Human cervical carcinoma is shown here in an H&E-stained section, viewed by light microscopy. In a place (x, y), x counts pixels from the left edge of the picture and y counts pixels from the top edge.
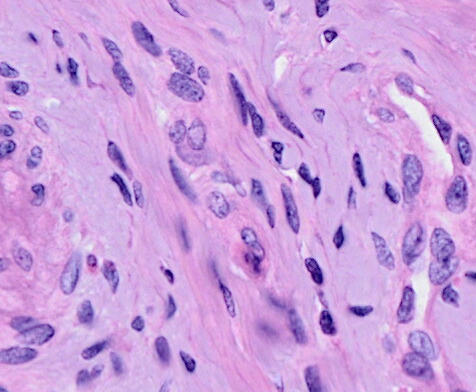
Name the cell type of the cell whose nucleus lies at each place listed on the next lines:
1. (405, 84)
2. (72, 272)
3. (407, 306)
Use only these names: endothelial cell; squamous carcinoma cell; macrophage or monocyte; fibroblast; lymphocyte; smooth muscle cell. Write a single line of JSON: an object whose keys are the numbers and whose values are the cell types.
{"1": "endothelial cell", "2": "smooth muscle cell", "3": "endothelial cell"}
